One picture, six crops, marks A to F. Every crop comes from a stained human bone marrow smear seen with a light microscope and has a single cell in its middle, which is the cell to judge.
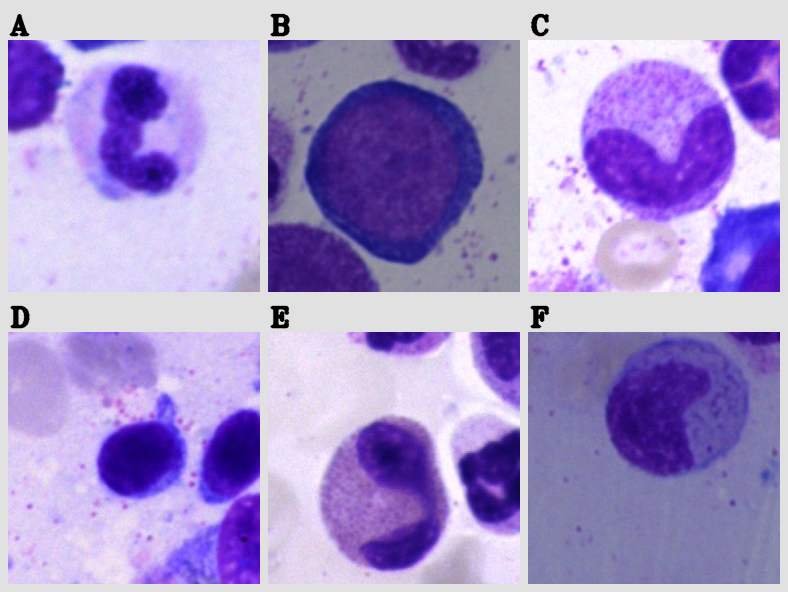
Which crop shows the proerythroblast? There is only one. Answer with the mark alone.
B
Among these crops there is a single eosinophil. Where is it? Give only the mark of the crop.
E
